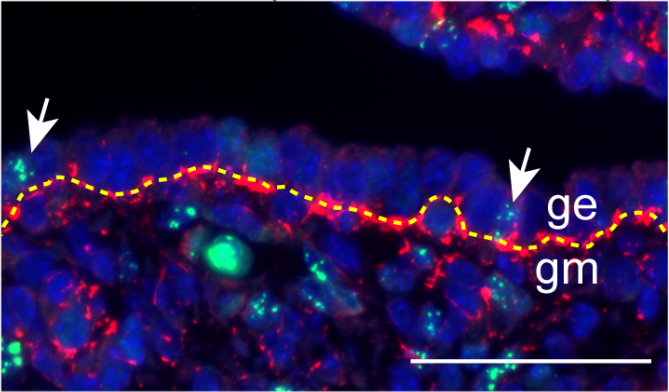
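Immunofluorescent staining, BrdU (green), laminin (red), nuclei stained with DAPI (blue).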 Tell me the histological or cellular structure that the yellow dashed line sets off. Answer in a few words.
Basement membrane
